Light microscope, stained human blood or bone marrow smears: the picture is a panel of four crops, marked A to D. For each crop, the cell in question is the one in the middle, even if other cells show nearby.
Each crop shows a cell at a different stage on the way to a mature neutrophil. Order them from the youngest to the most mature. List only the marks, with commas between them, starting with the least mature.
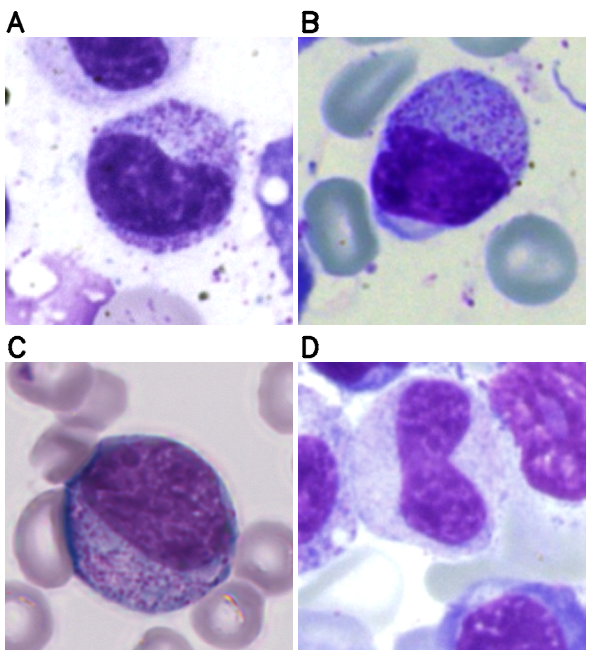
C, B, A, D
